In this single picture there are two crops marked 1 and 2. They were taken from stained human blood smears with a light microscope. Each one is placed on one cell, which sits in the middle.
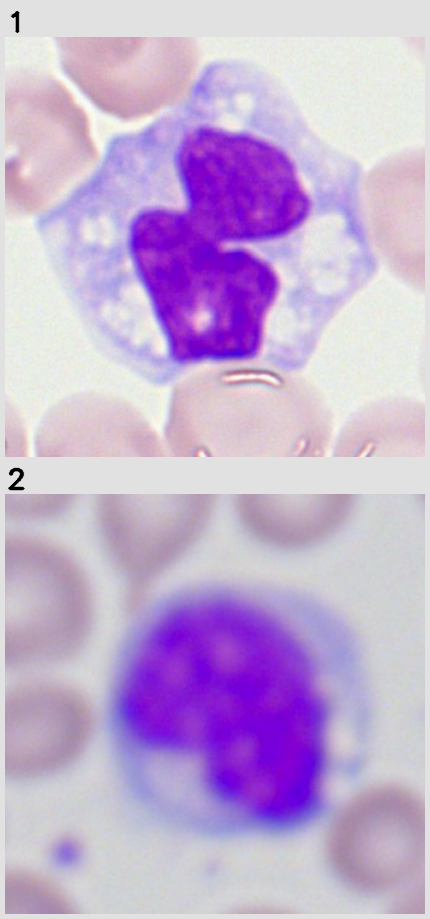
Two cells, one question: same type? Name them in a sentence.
Yes, the cells that the two crops centre on are monocytes.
